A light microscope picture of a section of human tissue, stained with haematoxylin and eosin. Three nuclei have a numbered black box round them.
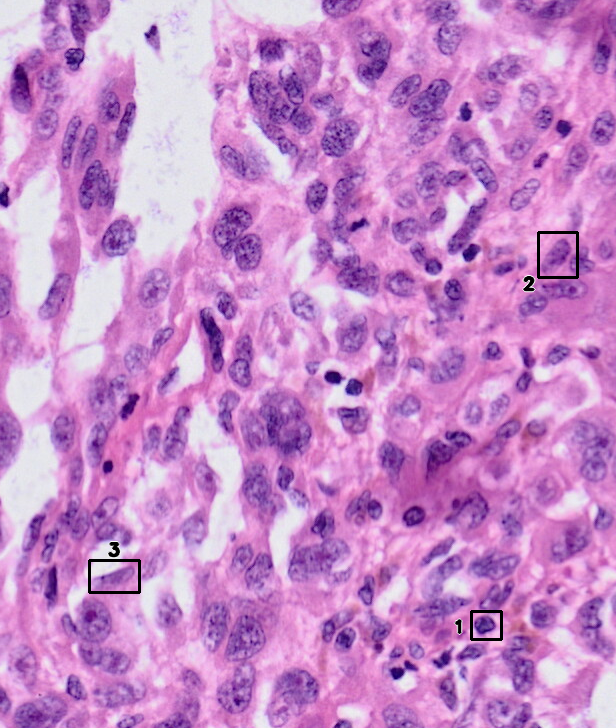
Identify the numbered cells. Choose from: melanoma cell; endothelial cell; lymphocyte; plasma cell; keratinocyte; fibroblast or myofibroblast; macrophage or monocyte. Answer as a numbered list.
1. lymphocyte
2. melanoma cell
3. melanoma cell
